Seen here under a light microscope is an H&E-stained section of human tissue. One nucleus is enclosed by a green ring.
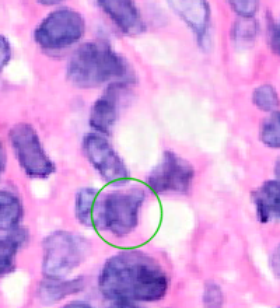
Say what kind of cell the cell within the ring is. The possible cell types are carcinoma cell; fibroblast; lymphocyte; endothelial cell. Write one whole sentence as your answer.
To be brief about it, the cell within the ring is a carcinoma cell.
